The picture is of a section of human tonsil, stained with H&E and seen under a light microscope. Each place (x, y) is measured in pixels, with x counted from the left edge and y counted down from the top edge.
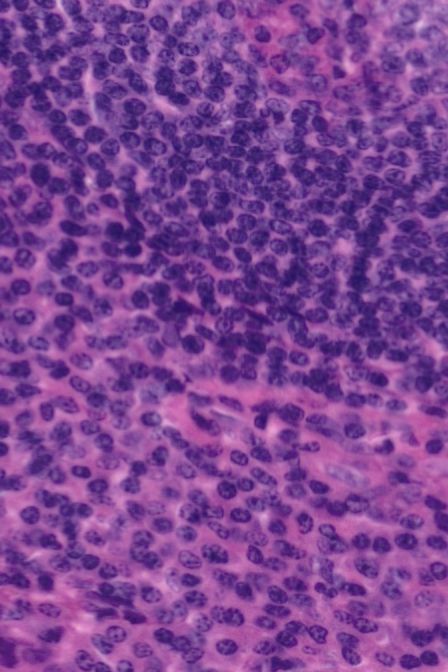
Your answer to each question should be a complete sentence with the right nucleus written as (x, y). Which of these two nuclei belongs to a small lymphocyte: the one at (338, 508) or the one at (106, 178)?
The nucleus that belongs to a small lymphocyte is located at (106, 178).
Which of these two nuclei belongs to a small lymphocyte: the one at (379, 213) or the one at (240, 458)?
Assigned to a small lymphocyte is the nucleus located at (379, 213).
